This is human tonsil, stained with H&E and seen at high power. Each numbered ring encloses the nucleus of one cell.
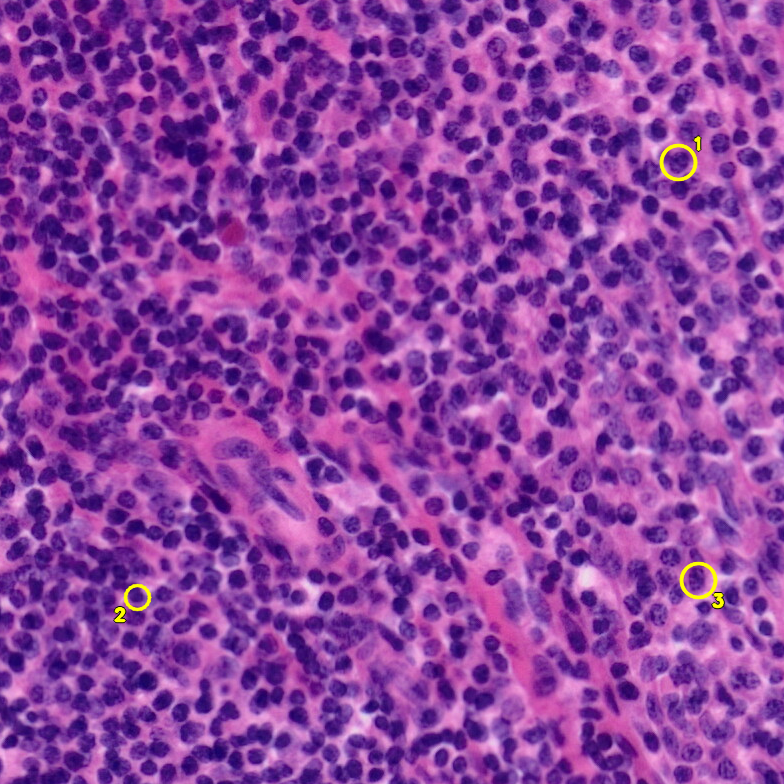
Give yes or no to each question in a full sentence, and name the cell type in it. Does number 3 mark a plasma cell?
Yes, the cell whose number is 3 is a plasma cell.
